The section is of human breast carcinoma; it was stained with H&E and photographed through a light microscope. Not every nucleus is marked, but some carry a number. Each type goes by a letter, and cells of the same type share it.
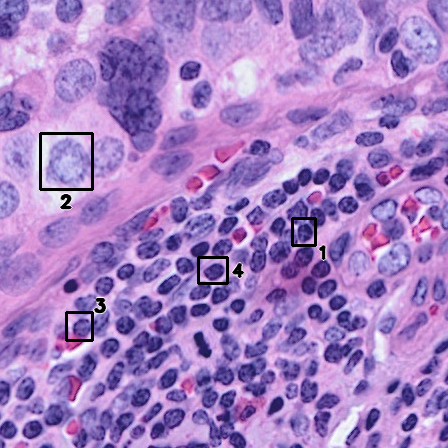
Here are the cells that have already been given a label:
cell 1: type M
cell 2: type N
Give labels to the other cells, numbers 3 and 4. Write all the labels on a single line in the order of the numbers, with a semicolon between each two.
type M; type M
